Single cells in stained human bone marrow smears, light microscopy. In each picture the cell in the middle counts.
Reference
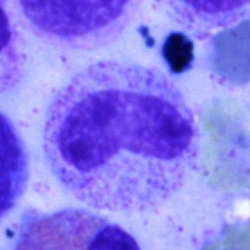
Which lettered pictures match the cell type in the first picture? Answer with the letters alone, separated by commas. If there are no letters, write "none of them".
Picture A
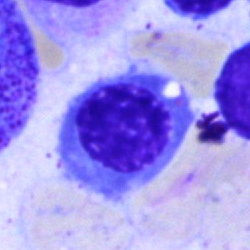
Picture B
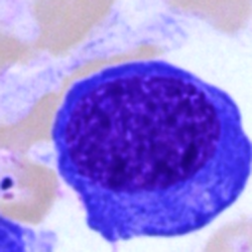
none of them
